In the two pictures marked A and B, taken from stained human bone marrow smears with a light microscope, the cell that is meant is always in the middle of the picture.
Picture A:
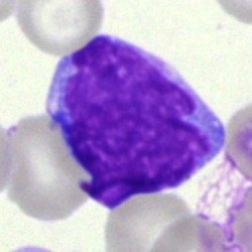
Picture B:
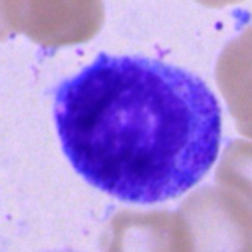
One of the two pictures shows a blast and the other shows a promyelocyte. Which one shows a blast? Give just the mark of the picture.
A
